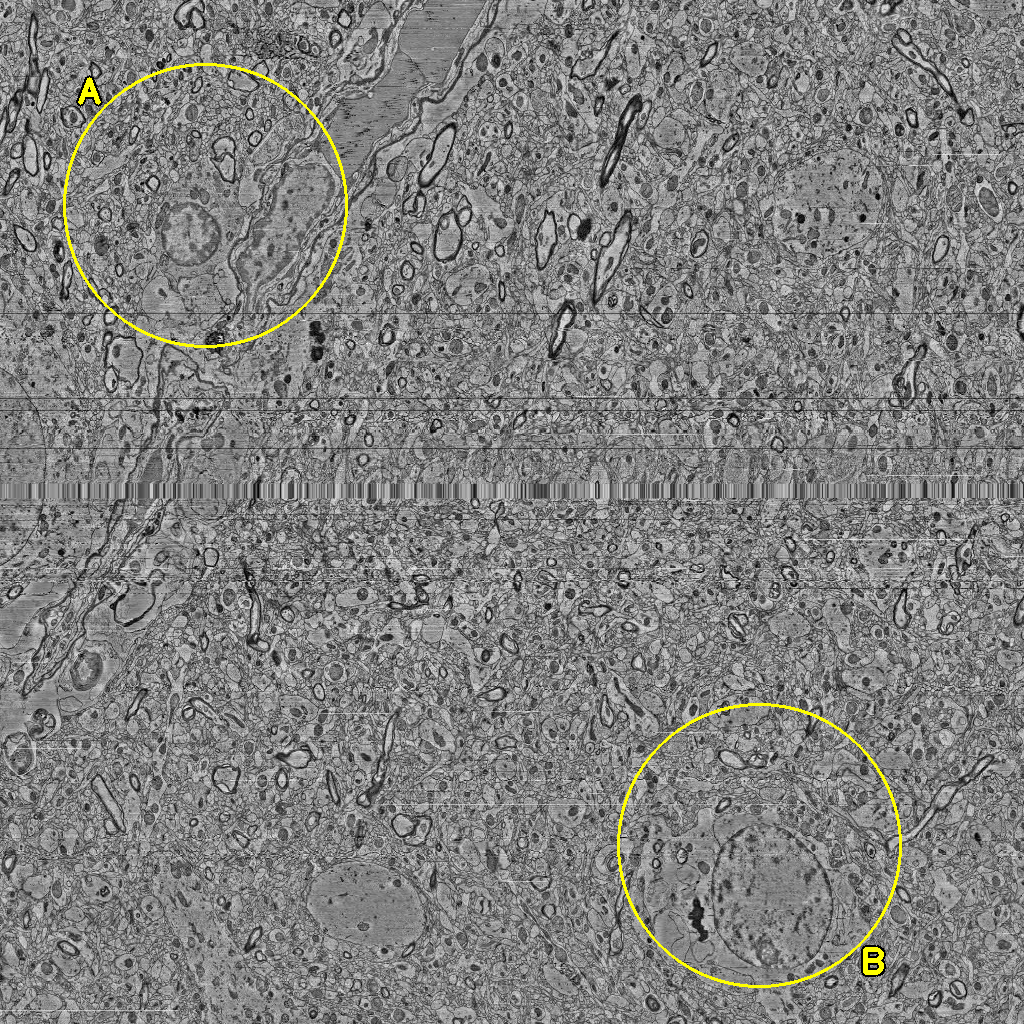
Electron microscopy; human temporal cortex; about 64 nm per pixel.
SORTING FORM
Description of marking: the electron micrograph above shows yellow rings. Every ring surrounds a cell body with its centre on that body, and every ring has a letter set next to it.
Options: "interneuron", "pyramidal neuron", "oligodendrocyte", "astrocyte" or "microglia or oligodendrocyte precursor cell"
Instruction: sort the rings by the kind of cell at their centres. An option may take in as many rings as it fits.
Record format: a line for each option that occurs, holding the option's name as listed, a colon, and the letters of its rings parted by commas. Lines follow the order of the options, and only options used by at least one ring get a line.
oligodendrocyte: A
astrocyte: B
